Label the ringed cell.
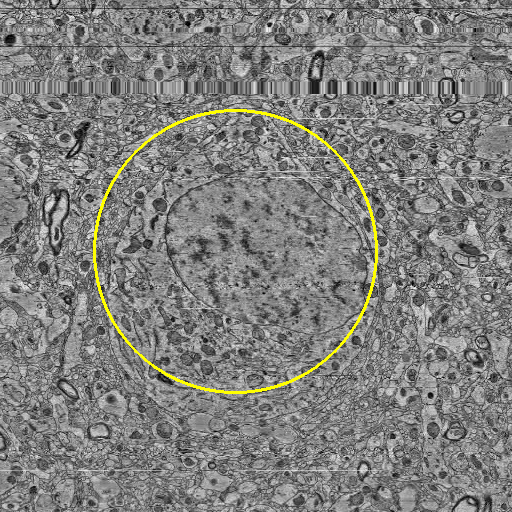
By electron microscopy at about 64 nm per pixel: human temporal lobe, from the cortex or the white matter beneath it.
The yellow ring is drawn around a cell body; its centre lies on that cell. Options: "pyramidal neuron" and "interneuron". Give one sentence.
The ringed cell is an interneuron.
